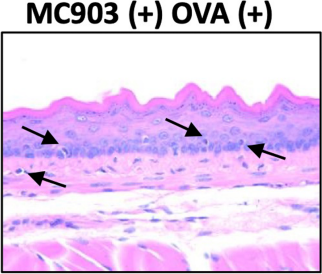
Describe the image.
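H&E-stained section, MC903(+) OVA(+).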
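This is a section of esophageal wall with a stratified squamous epithelium above a connective tissue layer, with eosinophils marked by arrows. The luminal surface is covered by a wavy, bright pink layer. Below it lie several layers of epithelial cells with round purple-blue nuclei, crowded toward the base. Under the epithelium is a paler pink connective tissue with scattered elongated nuclei, and deeper still pink bands of muscle. The arrows point to single cells within the epithelium and near its base.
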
